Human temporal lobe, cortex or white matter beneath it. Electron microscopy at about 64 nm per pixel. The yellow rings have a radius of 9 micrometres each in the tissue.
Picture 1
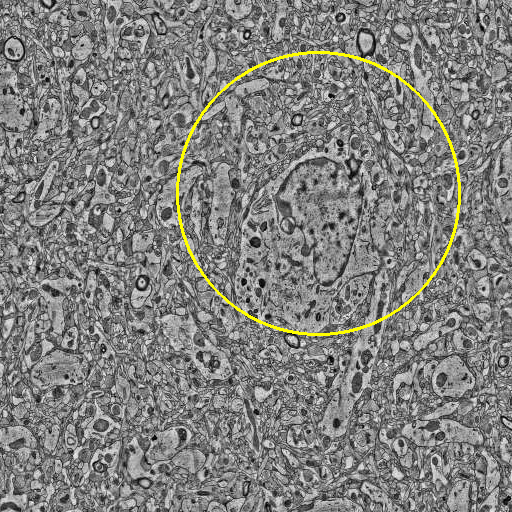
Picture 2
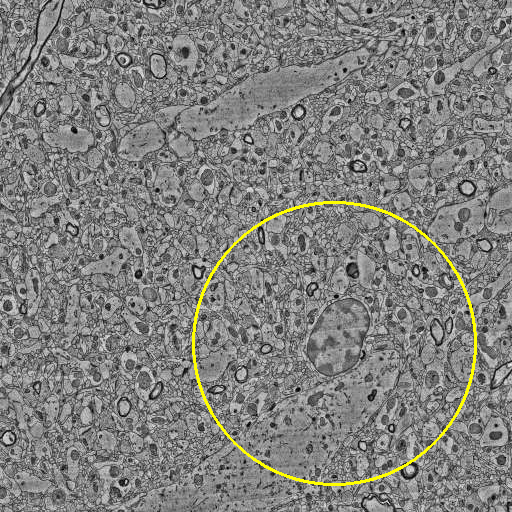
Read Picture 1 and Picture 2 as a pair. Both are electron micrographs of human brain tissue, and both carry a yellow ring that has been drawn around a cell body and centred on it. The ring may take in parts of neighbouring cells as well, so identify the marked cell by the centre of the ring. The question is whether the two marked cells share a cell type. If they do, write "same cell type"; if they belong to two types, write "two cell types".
same cell type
